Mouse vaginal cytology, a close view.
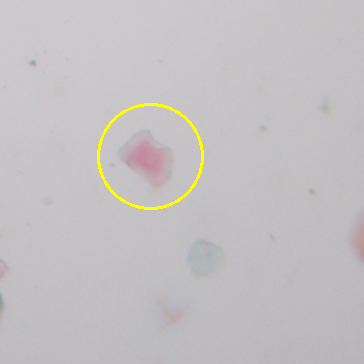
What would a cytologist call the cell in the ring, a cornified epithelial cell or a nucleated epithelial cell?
A cytologist would call it a cornified epithelial cell.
